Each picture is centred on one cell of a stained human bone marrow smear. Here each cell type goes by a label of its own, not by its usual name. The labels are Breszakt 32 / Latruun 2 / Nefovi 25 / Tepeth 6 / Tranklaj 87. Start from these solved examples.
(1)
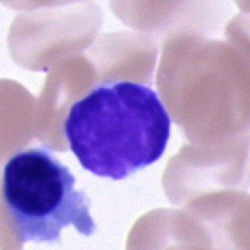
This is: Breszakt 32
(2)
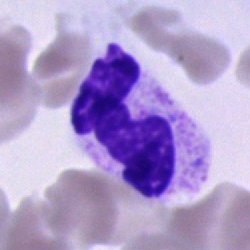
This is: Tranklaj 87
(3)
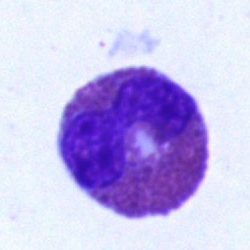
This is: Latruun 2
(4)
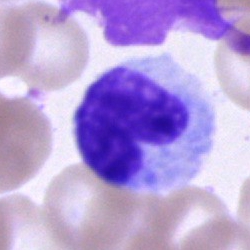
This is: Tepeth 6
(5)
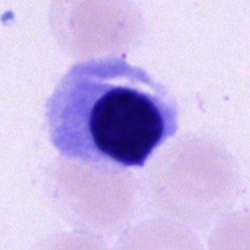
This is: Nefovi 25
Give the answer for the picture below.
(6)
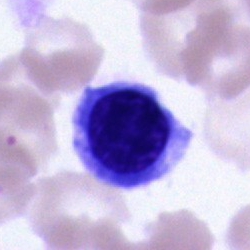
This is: Nefovi 25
